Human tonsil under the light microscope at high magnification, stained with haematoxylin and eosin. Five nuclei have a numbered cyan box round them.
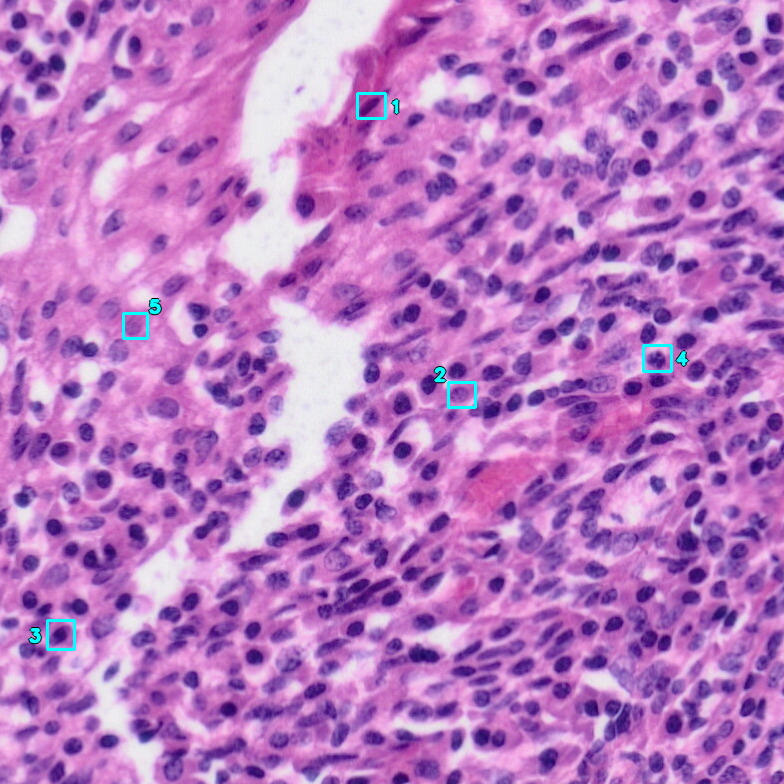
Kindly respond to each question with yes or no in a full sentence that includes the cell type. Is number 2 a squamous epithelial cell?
No, the cell at number 2 is a plasma cell instead of a squamous epithelial cell.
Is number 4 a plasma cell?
Yes, the cell that the number 4 labels is a plasma cell.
